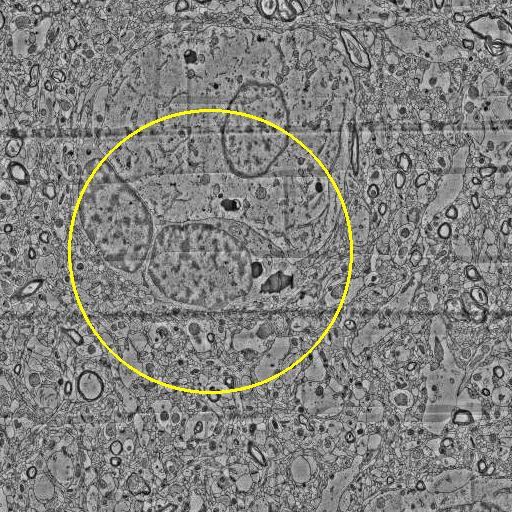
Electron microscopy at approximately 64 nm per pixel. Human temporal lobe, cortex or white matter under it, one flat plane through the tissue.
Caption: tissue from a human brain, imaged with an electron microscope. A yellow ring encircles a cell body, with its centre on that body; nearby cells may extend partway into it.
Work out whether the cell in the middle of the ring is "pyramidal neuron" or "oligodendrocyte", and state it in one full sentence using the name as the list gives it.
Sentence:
In the picture, the cell that the yellow ring surrounds at its centre is an oligodendrocyte.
